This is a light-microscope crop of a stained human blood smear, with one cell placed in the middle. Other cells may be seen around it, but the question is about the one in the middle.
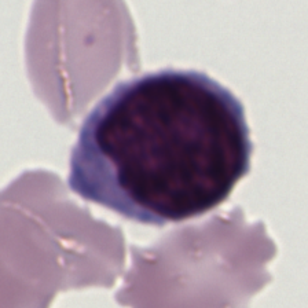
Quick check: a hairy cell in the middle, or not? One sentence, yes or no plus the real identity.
No, the cell found centrally in the crop is a typical lymphocyte, not a hairy cell.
